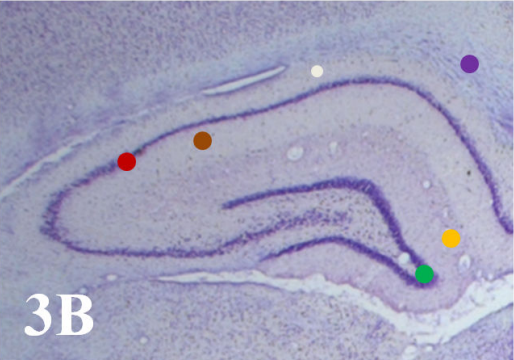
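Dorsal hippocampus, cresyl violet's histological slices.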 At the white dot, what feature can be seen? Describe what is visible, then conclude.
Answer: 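Stratum oriens. The white dot lies in the pale layer above the dark curved cell band, below the overlying white matter.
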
